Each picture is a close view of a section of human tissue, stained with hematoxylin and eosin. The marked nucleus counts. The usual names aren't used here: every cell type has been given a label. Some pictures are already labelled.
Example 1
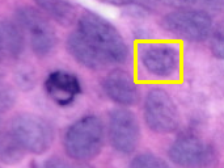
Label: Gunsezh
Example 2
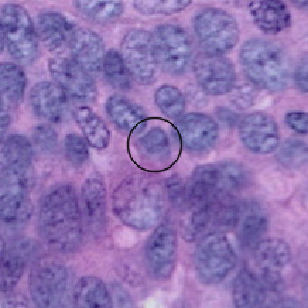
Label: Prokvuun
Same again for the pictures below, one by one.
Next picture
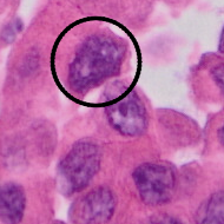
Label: Prokvuun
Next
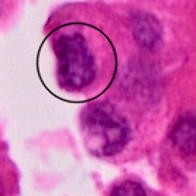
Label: Prokvuun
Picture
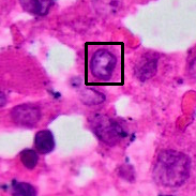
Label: Gunsezh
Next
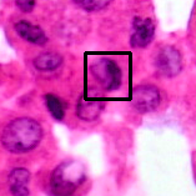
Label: Gunsezh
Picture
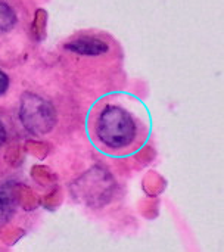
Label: Gunsezh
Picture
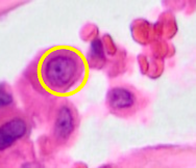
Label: Gunsezh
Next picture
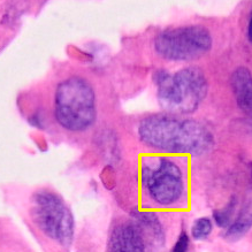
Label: Prokvuun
